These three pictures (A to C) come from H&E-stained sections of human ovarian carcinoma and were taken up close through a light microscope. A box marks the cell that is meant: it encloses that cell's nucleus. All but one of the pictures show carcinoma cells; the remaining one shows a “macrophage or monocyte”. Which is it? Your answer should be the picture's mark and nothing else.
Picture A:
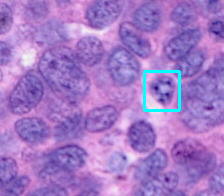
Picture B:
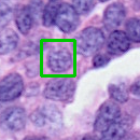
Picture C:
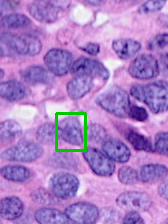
A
